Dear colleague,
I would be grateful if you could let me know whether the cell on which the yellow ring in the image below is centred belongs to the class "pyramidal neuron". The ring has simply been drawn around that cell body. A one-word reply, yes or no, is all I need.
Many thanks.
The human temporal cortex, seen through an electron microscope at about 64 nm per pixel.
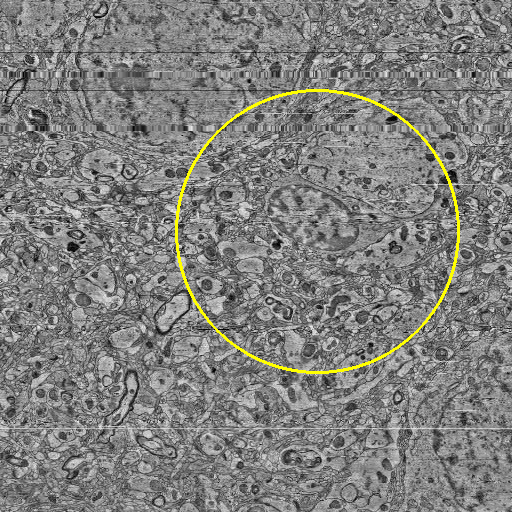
no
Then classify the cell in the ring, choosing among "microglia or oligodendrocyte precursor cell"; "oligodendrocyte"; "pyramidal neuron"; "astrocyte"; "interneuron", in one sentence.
It is an oligodendrocyte at the centre of the ring.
